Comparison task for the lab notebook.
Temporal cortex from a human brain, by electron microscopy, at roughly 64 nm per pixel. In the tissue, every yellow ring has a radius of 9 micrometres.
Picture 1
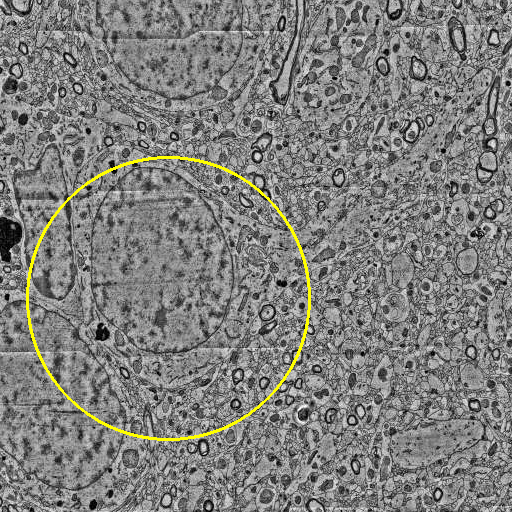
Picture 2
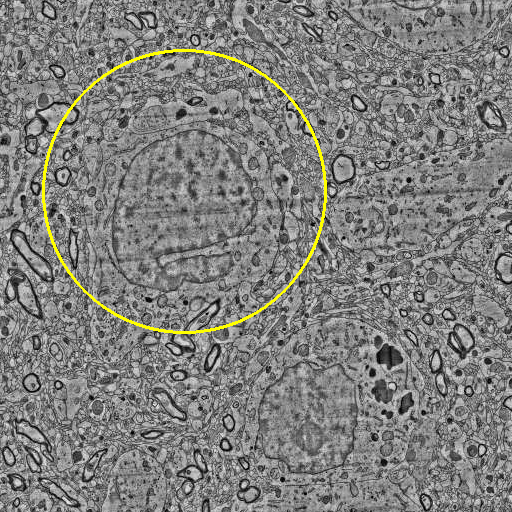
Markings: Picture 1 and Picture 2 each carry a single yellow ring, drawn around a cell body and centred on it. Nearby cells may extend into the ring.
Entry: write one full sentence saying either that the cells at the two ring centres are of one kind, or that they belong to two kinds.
The cells sitting at the ring centres in Picture 1 and Picture 2 belong to two kinds.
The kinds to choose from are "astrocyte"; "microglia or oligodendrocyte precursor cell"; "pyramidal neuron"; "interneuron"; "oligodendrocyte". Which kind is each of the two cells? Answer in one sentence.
Of the two, the first cell is a pyramidal neuron and the second cell is an interneuron.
